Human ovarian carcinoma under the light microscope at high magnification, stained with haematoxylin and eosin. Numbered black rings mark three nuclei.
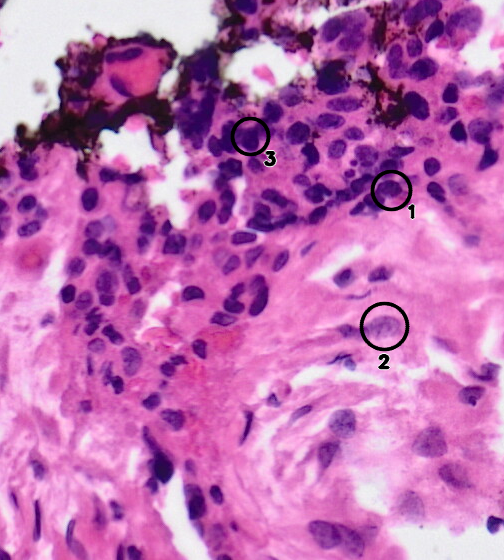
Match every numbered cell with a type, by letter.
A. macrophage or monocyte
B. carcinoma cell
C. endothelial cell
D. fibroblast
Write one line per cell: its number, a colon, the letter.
1: B
2: D
3: B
